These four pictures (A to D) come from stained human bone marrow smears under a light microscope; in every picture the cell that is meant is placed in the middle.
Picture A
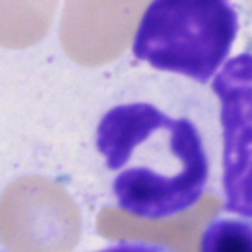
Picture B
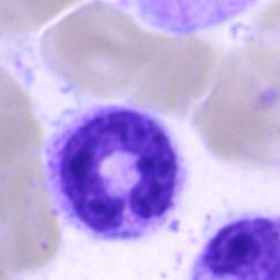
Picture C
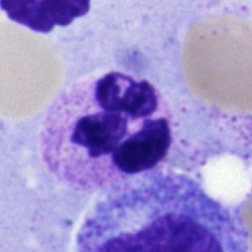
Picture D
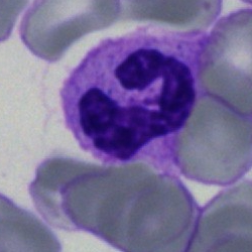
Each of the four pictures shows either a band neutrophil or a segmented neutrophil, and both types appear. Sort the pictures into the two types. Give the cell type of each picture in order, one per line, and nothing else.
segmented neutrophil
band neutrophil
segmented neutrophil
segmented neutrophil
